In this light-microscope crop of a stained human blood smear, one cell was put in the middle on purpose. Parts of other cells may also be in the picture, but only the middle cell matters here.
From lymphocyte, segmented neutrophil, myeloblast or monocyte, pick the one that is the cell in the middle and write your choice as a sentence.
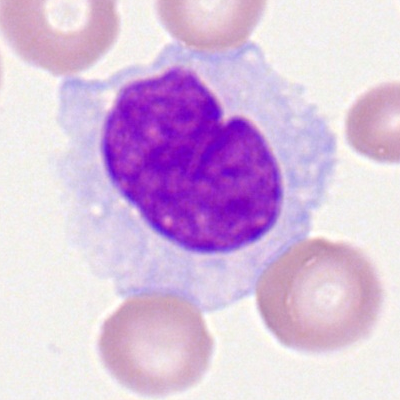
Regarding the central cell, it is a monocyte.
